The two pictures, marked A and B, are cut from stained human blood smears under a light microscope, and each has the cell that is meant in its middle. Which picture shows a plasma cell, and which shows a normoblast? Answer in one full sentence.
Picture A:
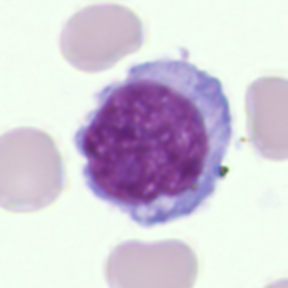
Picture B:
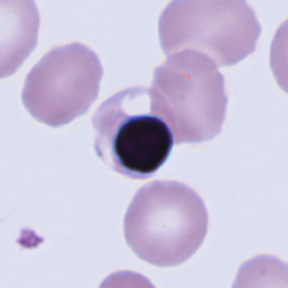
Picture B shows a normoblast, while picture A shows a plasma cell.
